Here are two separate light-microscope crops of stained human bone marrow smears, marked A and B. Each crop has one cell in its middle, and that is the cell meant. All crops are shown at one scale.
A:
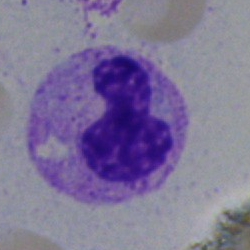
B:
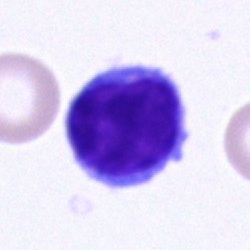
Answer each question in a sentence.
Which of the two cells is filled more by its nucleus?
The nucleus fills more of the cell in crop B than in crop A.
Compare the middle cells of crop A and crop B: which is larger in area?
It is the cell in crop A, about 1.5 times as large in area as the cell in crop B.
